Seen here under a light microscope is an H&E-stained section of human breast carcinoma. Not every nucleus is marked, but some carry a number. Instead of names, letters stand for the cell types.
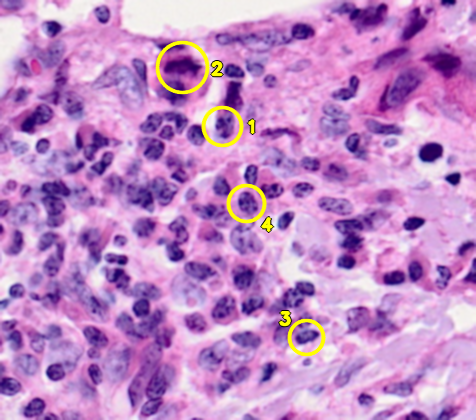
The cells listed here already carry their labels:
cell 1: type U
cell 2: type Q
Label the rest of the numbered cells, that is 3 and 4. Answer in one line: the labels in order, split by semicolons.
type U; type U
